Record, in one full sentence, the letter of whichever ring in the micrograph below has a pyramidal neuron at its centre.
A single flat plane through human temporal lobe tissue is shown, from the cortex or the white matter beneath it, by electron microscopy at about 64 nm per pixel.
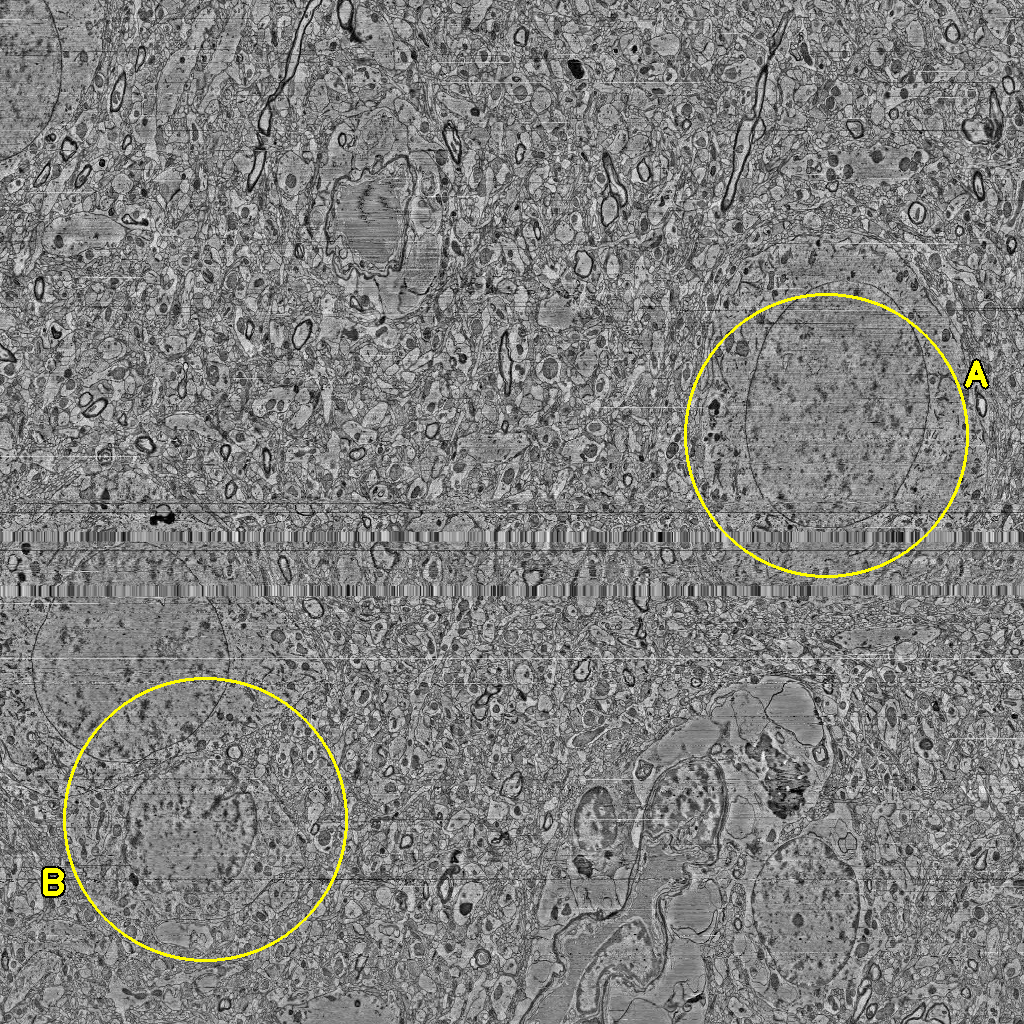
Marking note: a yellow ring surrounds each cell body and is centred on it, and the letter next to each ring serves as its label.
For the cell asked for, the ring centred on it carries the letter A.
